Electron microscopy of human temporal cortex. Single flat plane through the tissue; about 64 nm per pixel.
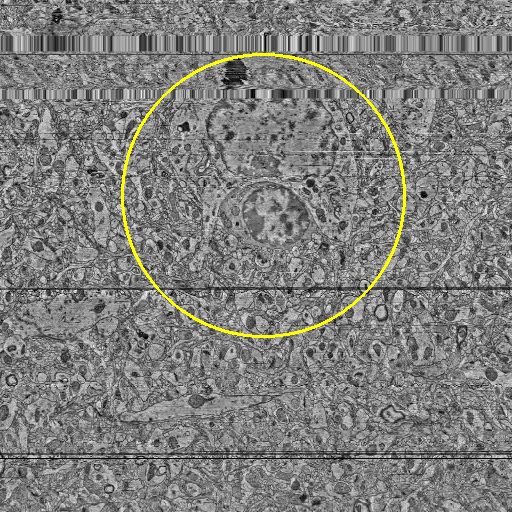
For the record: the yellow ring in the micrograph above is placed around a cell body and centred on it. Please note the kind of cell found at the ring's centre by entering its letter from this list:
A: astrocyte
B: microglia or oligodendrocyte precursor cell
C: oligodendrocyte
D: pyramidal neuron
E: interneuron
C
